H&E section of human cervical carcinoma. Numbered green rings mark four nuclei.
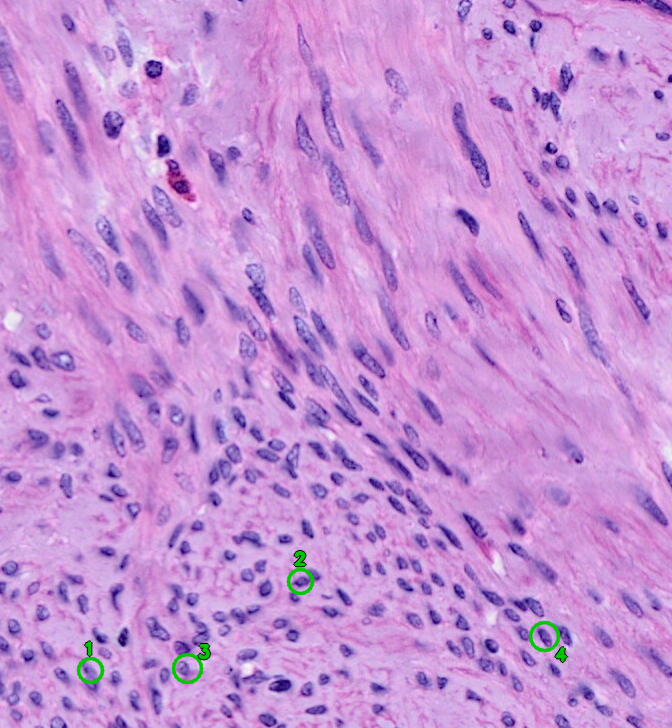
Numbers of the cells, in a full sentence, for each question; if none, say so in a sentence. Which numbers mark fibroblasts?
It is only cell 4 that is a fibroblast among the numbered cells.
